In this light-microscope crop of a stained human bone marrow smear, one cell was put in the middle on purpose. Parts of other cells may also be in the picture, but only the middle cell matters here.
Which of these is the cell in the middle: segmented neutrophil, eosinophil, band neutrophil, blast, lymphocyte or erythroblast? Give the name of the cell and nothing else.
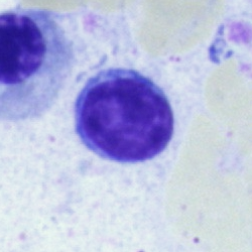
lymphocyte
